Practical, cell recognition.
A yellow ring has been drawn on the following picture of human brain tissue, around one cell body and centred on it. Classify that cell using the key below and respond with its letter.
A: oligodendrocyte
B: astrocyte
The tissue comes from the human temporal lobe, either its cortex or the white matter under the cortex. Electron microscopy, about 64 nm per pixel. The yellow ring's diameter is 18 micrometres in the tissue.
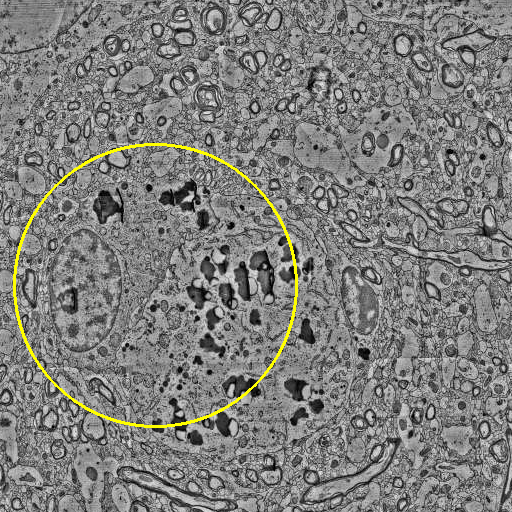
A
